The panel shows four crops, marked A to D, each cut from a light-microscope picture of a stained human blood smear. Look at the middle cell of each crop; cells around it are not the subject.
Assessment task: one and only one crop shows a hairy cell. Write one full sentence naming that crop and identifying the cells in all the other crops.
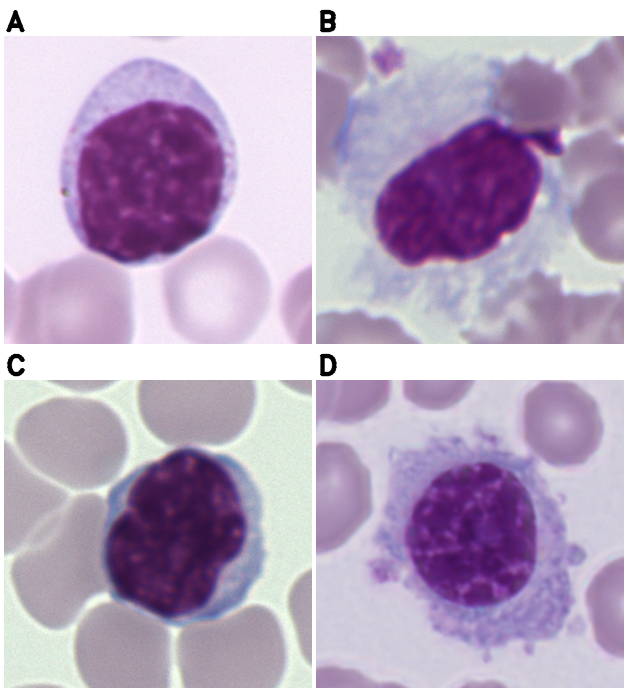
To sum up, crop B shows a hairy cell, while crop A is a large granular lymphocyte, crop C is a typical lymphocyte and crop D is a plasma cell.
